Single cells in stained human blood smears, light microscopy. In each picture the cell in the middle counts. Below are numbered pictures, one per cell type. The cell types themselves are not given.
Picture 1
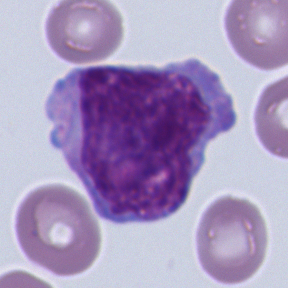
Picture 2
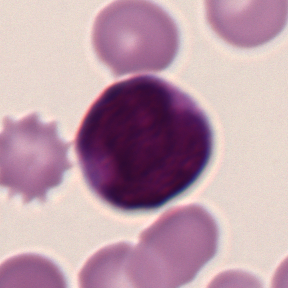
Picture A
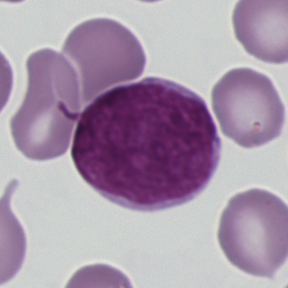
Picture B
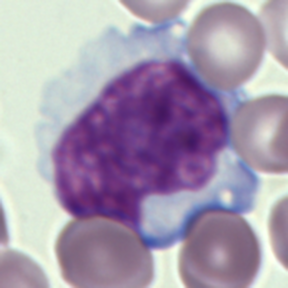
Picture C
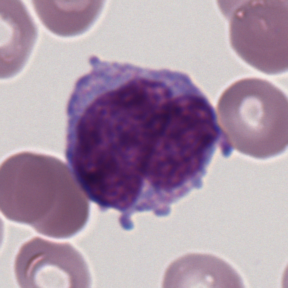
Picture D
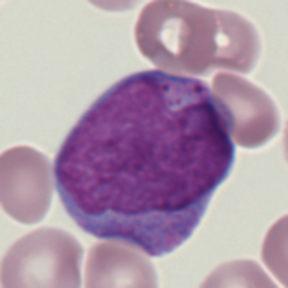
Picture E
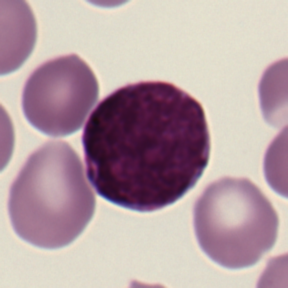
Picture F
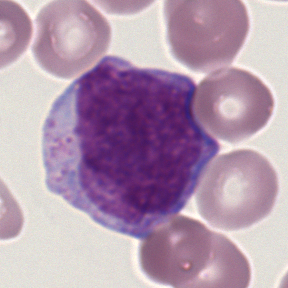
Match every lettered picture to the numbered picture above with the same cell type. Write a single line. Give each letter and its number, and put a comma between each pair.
A 2, B 2, C 1, D 1, E 2, F 1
